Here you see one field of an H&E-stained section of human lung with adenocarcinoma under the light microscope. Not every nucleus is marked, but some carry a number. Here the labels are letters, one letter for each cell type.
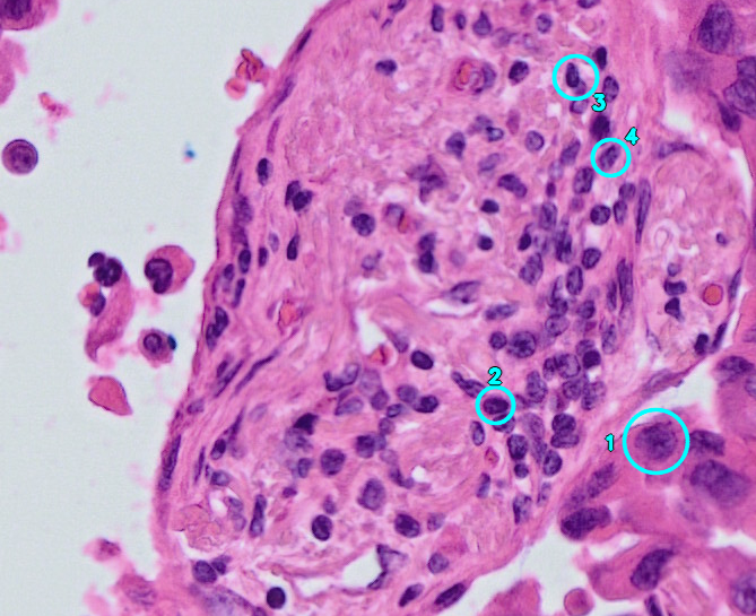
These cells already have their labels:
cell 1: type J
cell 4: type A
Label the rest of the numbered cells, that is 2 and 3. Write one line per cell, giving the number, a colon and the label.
2: type A
3: type A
